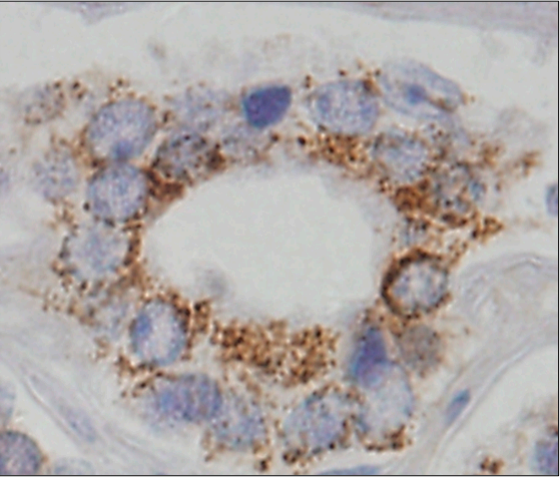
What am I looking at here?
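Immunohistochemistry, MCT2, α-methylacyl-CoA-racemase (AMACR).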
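This is a small prostate gland seen at high magnification, made of malignant gland cells arranged around a small central lumen. The cells have large, oval, pale blue nuclei, a few of them darker and more compact. Brown dots of varying size are scattered through the cytoplasm, clustering around the nuclei and toward the lumen, giving a coarse punctate pattern. Pale stroma with a few elongated nuclei surrounds the gland.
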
